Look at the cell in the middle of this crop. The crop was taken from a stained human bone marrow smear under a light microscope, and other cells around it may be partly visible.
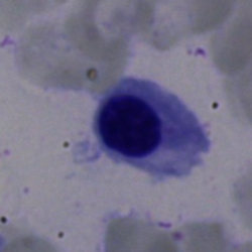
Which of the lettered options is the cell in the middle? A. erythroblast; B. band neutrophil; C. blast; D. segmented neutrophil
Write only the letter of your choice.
A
